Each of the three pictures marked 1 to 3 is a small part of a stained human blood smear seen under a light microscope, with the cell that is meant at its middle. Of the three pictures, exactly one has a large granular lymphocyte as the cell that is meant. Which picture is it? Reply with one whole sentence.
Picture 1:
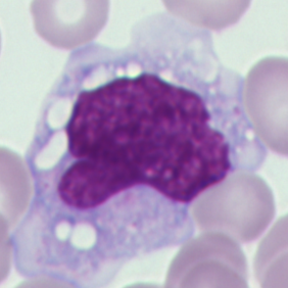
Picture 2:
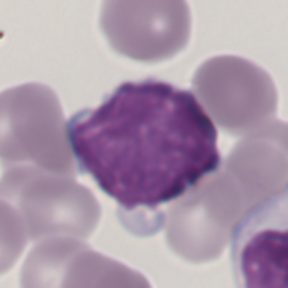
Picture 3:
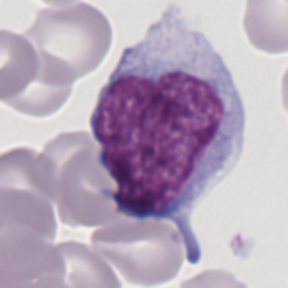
Picture 2 is the one that shows the large granular lymphocyte.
